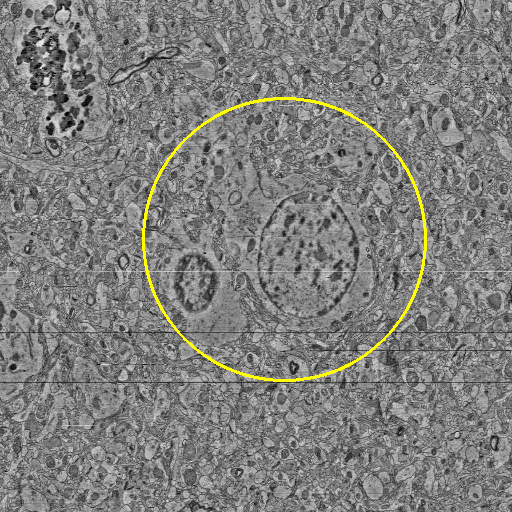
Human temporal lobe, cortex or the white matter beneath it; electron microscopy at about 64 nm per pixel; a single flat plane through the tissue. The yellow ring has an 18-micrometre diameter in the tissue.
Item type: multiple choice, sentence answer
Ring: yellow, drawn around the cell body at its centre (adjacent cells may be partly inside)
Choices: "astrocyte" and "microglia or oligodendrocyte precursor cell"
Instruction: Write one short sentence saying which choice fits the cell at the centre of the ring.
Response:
This ring is drawn around an astrocyte.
